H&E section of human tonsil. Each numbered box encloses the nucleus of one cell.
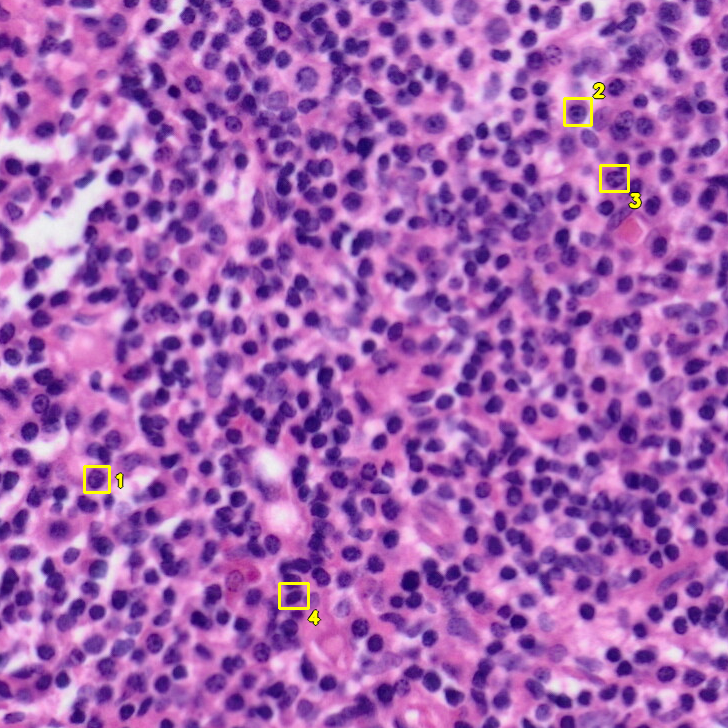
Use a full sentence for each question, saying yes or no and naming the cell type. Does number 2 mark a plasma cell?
Yes, the cell marked with number 2 is a plasma cell.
